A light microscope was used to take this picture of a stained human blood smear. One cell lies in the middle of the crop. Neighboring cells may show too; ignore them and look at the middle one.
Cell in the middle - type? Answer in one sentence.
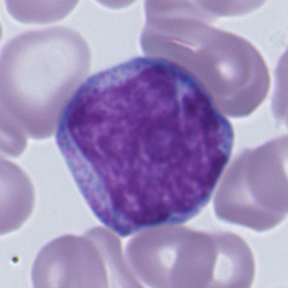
Here the centrally located cell is a promyelocyte.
